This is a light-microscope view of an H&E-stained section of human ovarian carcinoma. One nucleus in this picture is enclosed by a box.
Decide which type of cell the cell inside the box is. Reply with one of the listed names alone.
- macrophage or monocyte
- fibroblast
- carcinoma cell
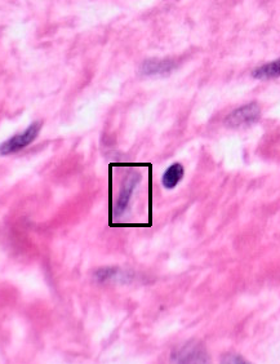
fibroblast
